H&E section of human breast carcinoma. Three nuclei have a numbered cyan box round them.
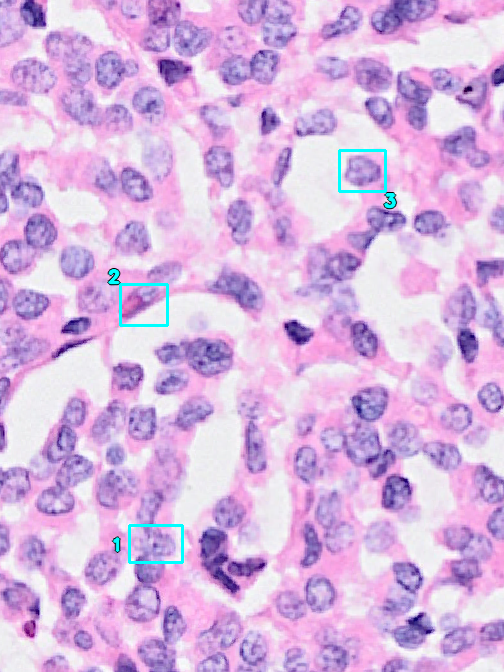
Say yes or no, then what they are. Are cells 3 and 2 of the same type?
No, cell 3 is a carcinoma cell, while cell 2 is an endothelial cell.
